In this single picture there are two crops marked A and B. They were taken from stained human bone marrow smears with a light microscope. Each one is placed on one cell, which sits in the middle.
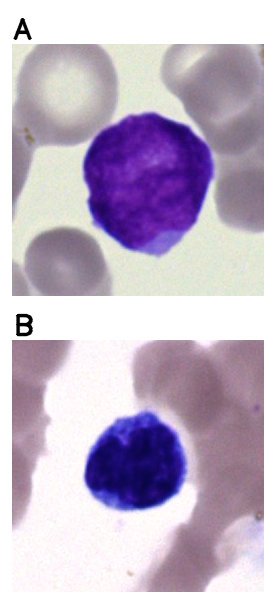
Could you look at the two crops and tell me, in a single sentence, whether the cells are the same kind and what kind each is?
No, a blast is what occupies crop A, and a lymphocyte is what occupies crop B.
